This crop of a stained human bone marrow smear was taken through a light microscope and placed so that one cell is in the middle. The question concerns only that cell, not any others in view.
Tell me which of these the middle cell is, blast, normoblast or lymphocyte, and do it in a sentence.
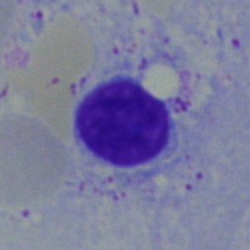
The middle position in this crop is taken by a lymphocyte.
